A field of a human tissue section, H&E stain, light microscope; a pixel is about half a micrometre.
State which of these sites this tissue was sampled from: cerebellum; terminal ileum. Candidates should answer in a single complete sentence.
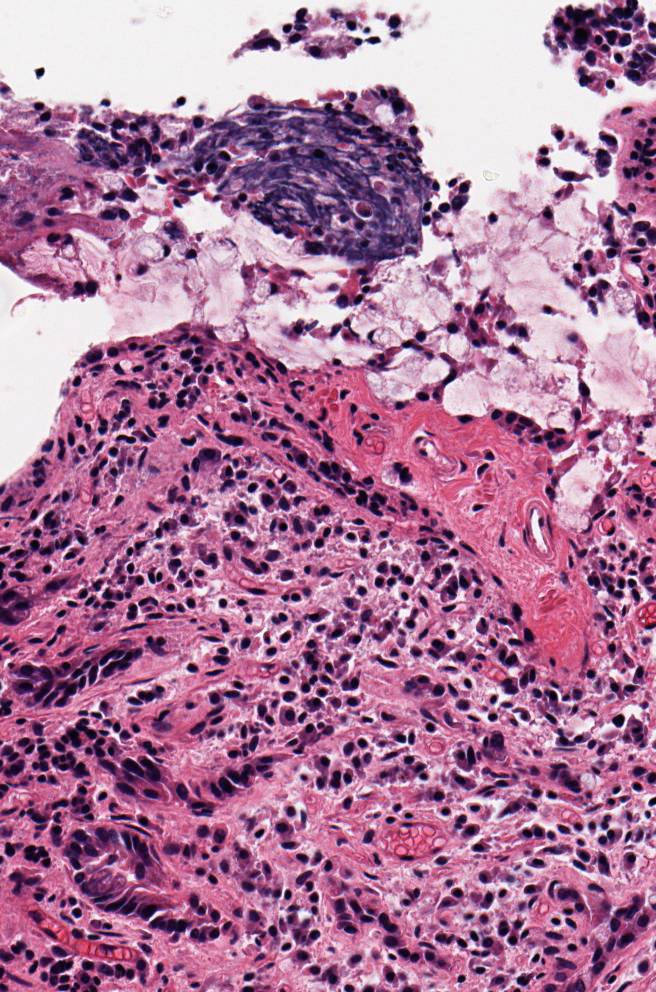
The sample of tissue came from the terminal ileum.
